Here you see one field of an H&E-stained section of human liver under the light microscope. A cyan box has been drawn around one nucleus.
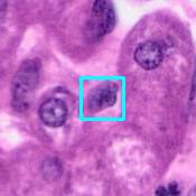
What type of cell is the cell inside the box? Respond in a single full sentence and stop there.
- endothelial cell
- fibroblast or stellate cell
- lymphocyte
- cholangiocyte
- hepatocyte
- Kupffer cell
In short, the cell inside the box on this section is an endothelial cell.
